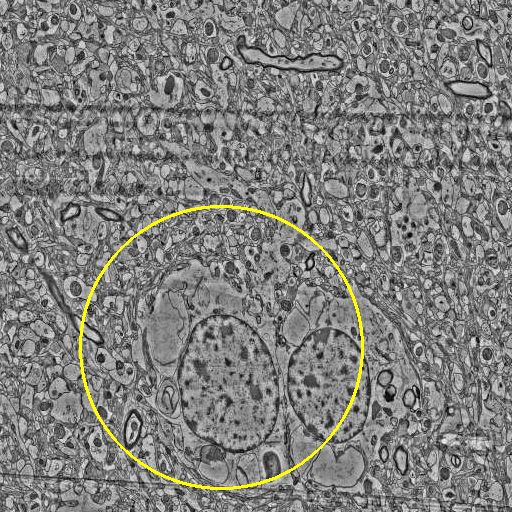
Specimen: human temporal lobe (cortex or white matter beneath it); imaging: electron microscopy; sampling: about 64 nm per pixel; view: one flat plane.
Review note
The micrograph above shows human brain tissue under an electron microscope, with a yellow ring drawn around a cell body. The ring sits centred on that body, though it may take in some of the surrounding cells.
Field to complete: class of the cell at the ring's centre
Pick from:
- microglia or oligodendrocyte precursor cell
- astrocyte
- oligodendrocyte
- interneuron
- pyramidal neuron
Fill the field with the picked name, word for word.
astrocyte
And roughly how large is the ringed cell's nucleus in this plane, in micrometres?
About 9 by 6 micrometers, in this plane.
